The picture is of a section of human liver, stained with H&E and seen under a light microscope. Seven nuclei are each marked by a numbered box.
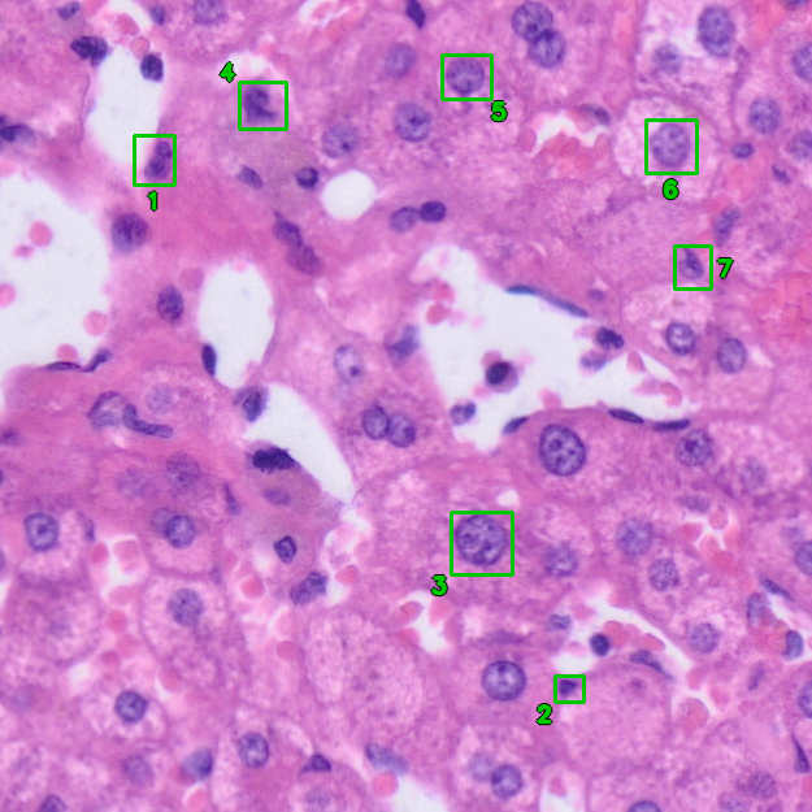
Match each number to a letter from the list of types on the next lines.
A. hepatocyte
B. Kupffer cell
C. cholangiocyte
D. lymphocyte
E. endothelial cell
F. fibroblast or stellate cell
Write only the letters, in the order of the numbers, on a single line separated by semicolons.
F; F; A; B; A; A; E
